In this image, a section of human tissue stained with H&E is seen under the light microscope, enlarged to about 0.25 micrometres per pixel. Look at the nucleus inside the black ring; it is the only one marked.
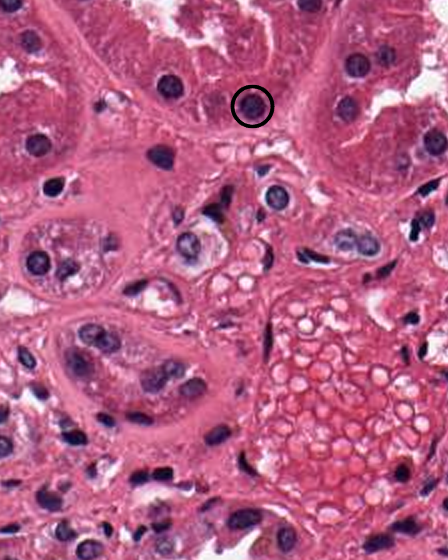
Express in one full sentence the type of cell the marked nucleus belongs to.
Indicated by the mark is a nucleus that belongs to a proximal tubule cell.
